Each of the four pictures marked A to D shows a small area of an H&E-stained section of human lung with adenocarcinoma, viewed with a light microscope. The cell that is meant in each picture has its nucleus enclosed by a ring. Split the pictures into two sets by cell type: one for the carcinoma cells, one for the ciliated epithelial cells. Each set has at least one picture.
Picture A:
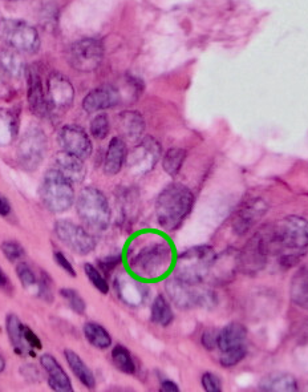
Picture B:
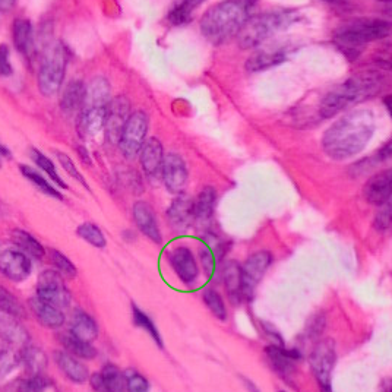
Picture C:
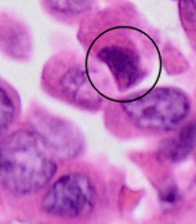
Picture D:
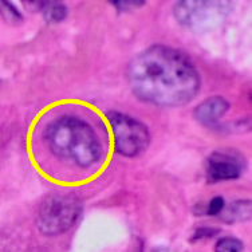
A: ciliated epithelial cell
B: ciliated epithelial cell
C: carcinoma cell
D: carcinoma cell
